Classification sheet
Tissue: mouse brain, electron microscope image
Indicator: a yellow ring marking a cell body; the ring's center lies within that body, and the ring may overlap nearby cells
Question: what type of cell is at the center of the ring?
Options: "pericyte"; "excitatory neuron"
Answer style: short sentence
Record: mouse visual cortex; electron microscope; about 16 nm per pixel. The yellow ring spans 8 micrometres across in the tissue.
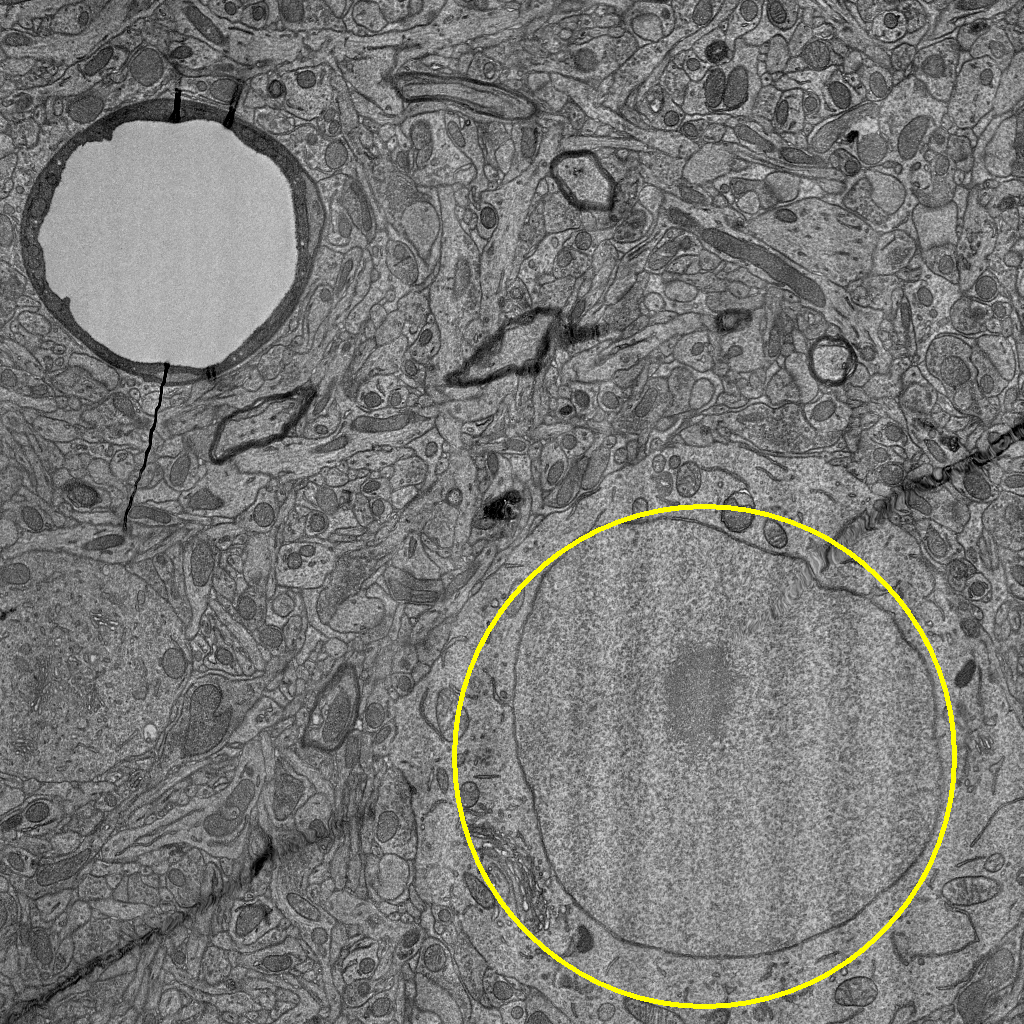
At the ring's center is an excitatory neuron.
